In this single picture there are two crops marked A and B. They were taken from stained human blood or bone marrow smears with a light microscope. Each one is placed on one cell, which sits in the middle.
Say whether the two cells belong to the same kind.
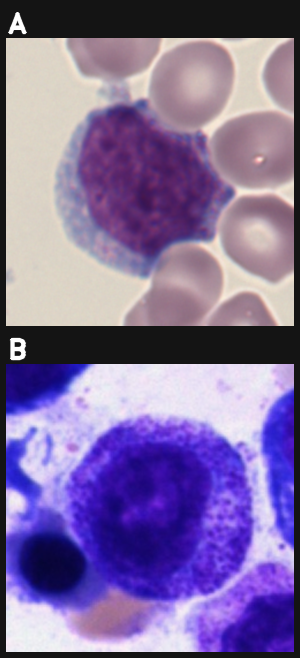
yes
